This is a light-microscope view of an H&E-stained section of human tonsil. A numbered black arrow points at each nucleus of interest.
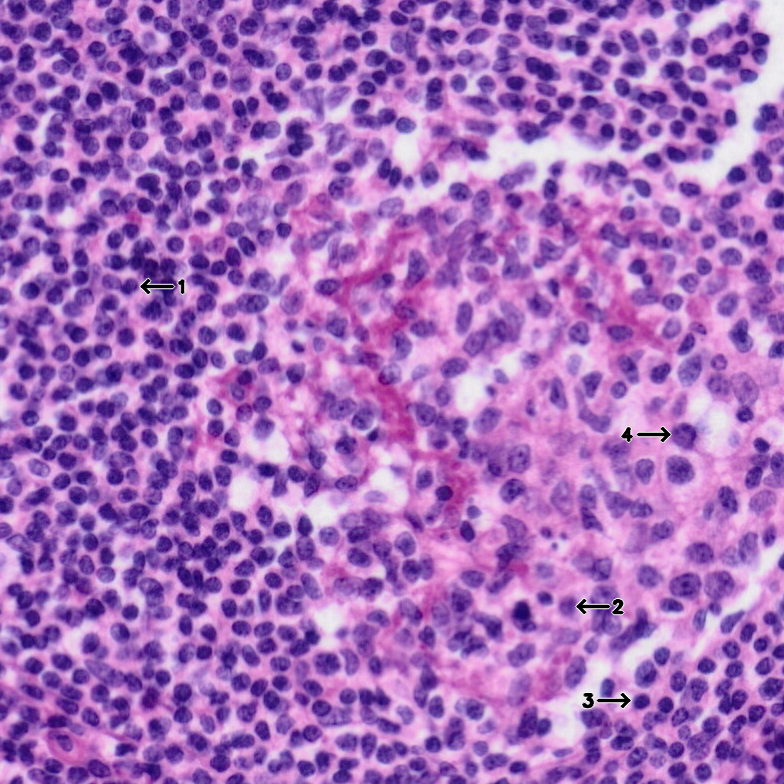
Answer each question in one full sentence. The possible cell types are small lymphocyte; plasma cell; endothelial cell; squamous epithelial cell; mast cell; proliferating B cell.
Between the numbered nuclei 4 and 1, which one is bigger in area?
Number 4 is larger; its area is about 2 times that of number 1.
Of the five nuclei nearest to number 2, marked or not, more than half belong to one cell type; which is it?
Most of the five nuclei nearest to number 2 are those of proliferating B cells.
